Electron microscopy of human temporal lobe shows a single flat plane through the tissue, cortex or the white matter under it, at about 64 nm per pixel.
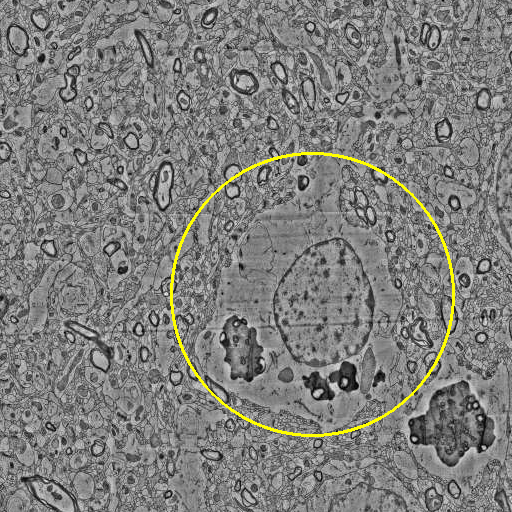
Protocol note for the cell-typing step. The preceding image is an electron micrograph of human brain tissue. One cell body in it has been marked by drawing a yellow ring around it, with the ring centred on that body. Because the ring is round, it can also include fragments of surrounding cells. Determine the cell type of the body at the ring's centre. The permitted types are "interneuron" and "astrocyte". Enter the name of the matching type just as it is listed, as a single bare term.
astrocyte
